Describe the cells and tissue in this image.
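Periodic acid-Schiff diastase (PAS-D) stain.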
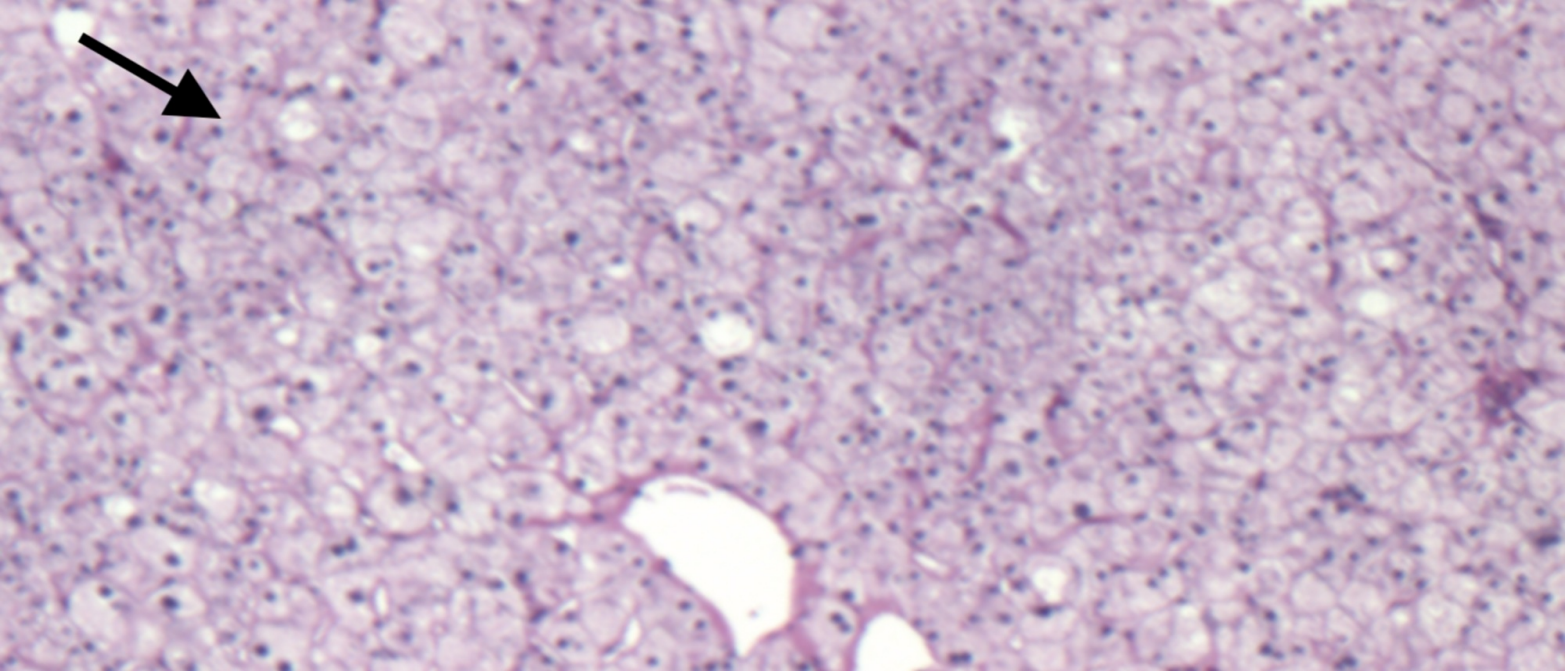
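This section shows liver parenchyma made of sheets of large, polygonal hepatocytes with sharp, thin pink-purple cell borders. Each hepatocyte has a small, round, dark nucleus, often placed centrally, surrounded by abundant pale, swollen, clear-looking cytoplasm. The cells are crowded together, and the sinusoidal spaces between them are hardly visible. An open vessel lumen lies among the swollen cells, and the cytoplasm shows no strong magenta staining.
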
